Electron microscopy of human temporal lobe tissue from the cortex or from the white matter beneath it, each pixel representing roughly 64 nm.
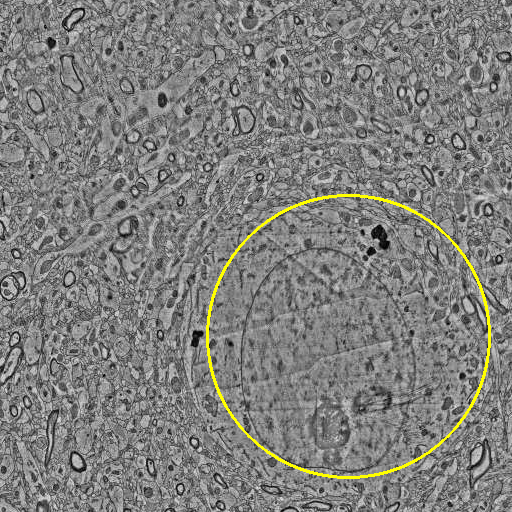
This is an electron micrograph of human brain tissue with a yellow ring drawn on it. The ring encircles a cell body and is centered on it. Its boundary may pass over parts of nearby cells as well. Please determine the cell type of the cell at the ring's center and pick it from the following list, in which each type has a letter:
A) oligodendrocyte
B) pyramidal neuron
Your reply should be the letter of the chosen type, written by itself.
B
